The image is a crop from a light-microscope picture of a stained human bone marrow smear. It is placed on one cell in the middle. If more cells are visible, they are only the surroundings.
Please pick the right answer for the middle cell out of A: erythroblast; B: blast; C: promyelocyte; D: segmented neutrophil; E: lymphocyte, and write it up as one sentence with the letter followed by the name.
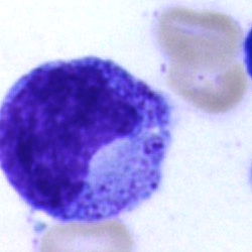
Option C is correct in naming the middle cell a promyelocyte.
